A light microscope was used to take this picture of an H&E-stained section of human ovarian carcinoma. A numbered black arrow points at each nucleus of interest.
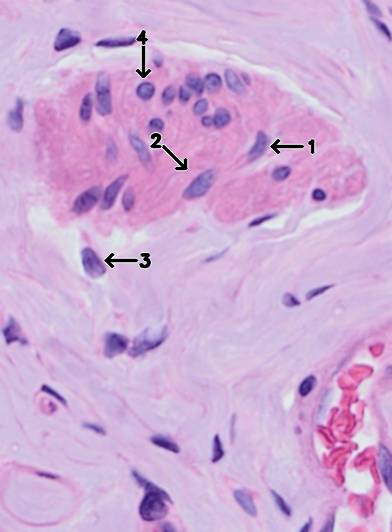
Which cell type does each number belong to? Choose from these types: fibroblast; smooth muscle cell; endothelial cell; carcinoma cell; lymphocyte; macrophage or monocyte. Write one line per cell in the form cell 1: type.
cell 1: smooth muscle cell
cell 2: smooth muscle cell
cell 3: fibroblast
cell 4: smooth muscle cell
